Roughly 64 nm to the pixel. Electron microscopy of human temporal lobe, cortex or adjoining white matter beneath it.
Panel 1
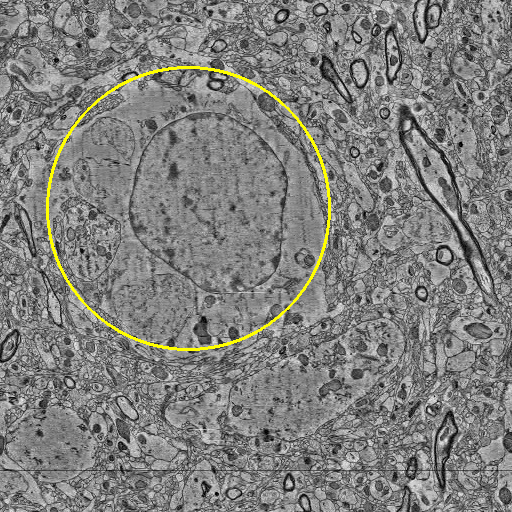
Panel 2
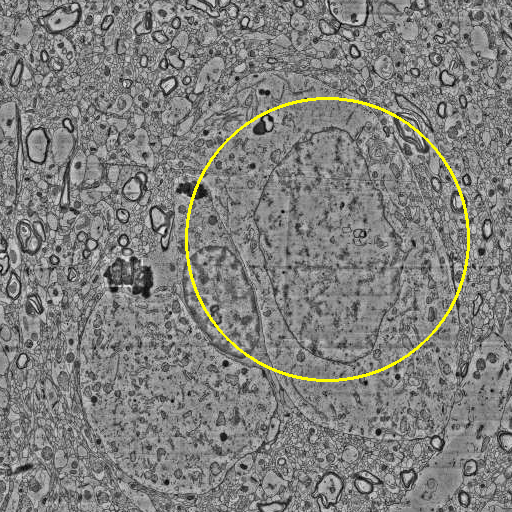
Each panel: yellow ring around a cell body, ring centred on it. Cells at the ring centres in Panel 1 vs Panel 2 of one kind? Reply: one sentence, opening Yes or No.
No, Panel 1 and Panel 2 have cells of two kinds at the ring centres.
